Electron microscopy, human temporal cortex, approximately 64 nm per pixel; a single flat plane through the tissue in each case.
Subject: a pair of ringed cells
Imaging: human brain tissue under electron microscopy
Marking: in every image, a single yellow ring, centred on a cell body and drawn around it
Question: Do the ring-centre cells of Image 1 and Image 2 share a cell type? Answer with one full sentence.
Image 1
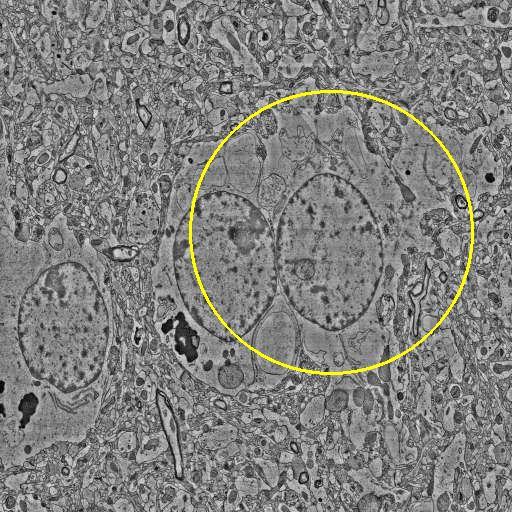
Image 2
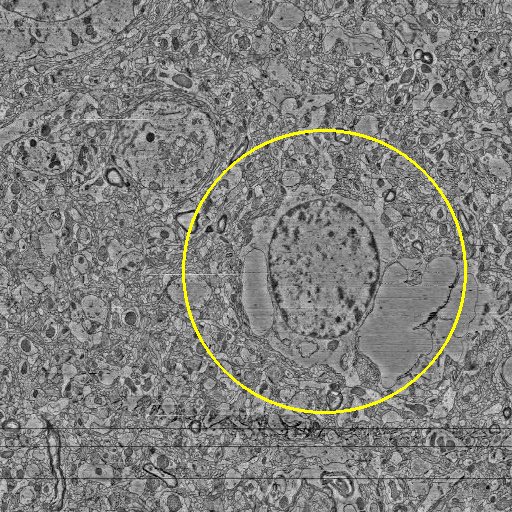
Yes, at each ring's centre in the images sits a cell of one common type.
